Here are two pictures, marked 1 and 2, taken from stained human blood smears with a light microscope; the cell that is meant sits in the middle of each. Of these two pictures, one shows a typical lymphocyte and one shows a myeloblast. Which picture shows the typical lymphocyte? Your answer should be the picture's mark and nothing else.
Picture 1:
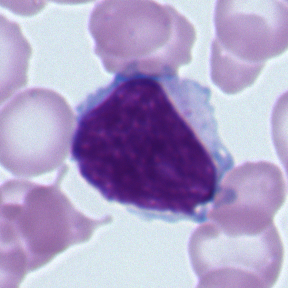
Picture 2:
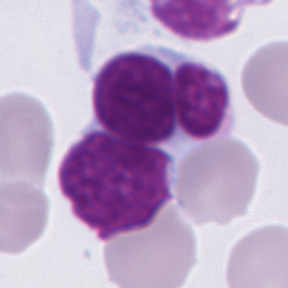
1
